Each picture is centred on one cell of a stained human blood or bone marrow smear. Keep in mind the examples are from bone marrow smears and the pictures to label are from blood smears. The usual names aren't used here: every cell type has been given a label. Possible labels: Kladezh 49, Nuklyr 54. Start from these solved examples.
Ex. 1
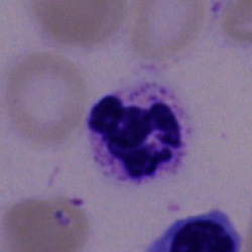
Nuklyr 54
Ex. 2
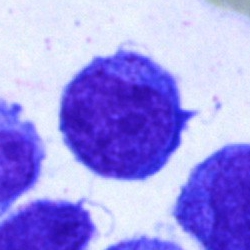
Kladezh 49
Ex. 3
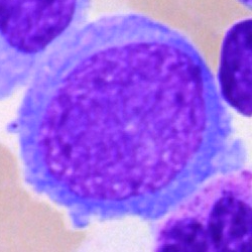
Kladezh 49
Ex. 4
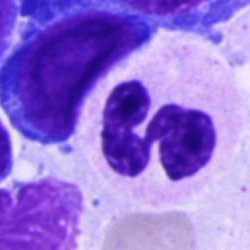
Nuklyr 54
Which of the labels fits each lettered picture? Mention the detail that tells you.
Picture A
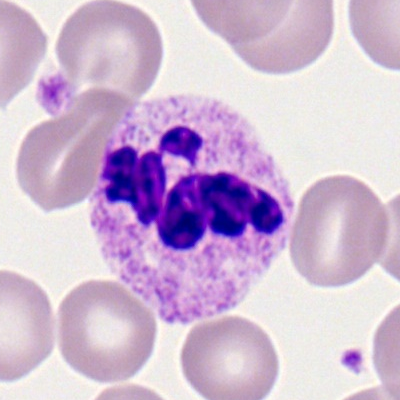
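Label: Nuklyr 54. The cytoplasm is abundant and pale pinkish-lilac.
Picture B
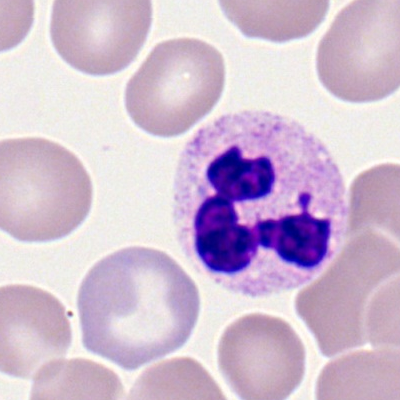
Label: Nuklyr 54. The cytoplasm is plentiful and pale pinkish-lilac.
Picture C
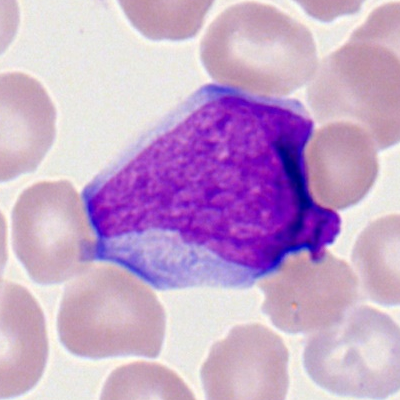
Label: Kladezh 49. The nucleus fills most of the cell.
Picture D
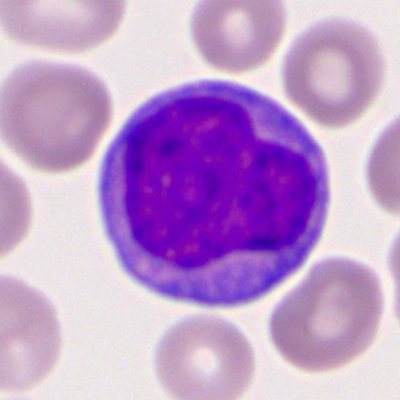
Label: Kladezh 49. The nucleus fills most of the cell.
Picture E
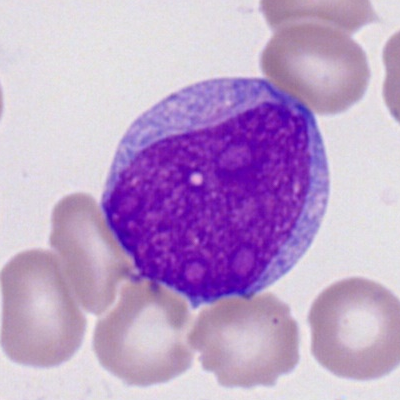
Label: Kladezh 49. The nucleus fills most of the cell, leaving a rim of cytoplasm that is widest along the top.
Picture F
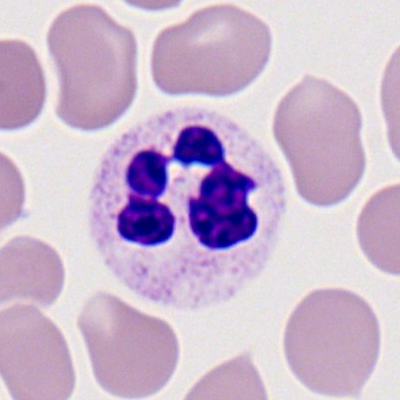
Label: Nuklyr 54. The cytoplasm is abundant and pale pink.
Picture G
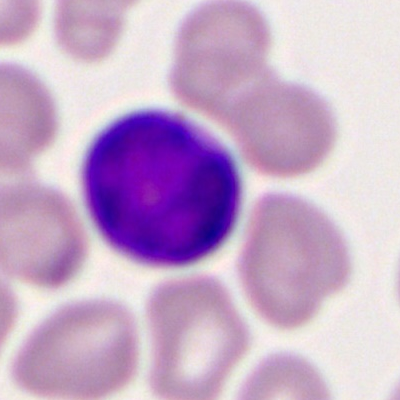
Label: Kladezh 49. Only a very thin rim of cytoplasm shows around the nucleus.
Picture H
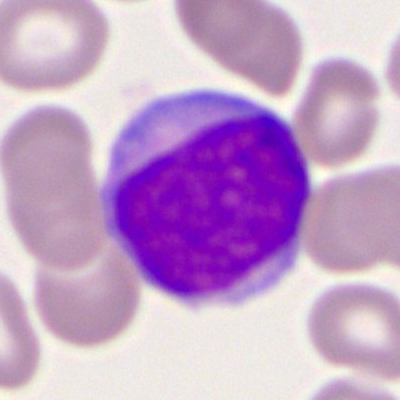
Label: Kladezh 49. The nucleus fills most of the cell and sits toward the lower right.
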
